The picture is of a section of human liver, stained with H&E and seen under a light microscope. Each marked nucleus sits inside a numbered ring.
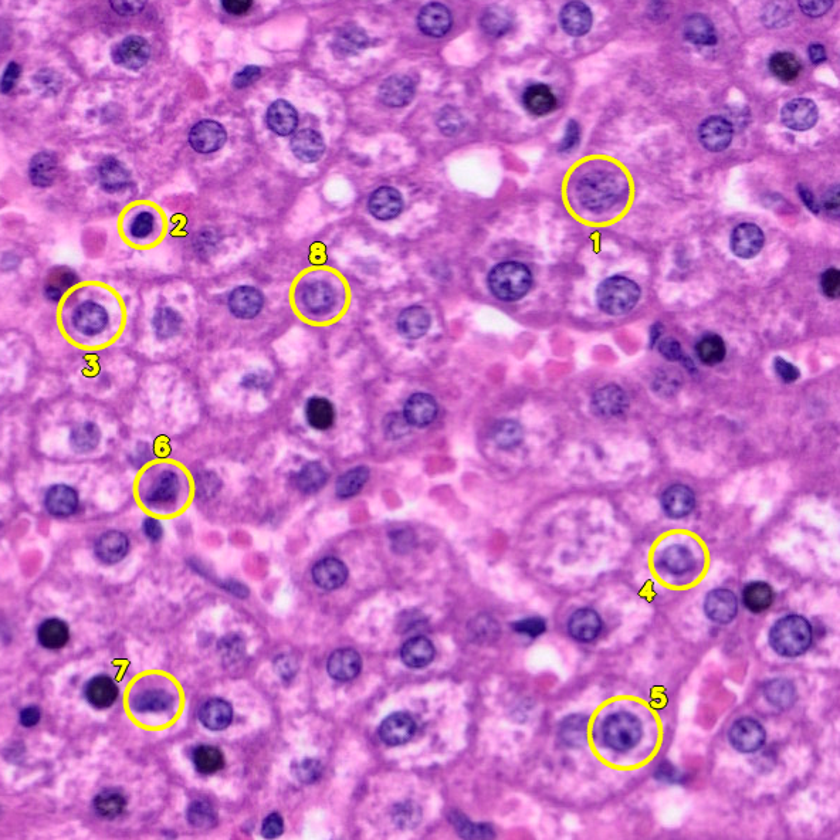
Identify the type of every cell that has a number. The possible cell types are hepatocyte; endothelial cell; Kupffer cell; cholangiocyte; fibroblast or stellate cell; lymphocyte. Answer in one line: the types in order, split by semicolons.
hepatocyte; lymphocyte; hepatocyte; hepatocyte; hepatocyte; endothelial cell; endothelial cell; hepatocyte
